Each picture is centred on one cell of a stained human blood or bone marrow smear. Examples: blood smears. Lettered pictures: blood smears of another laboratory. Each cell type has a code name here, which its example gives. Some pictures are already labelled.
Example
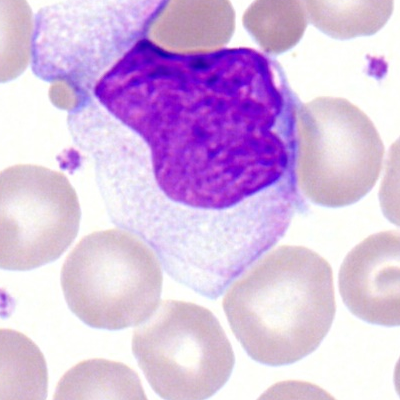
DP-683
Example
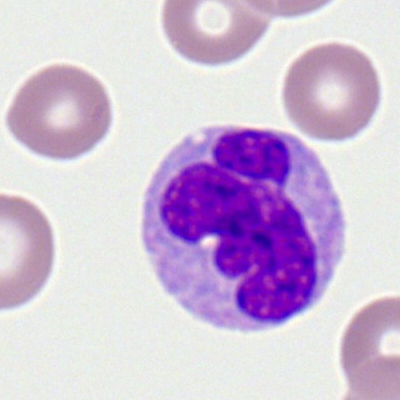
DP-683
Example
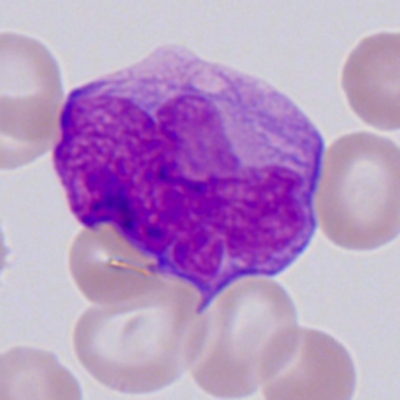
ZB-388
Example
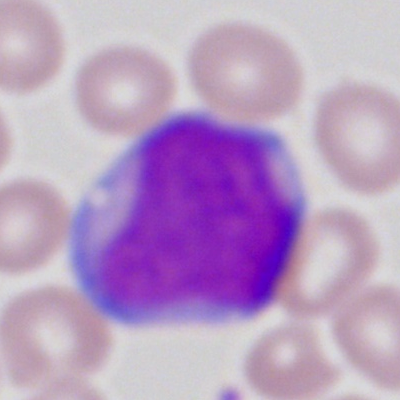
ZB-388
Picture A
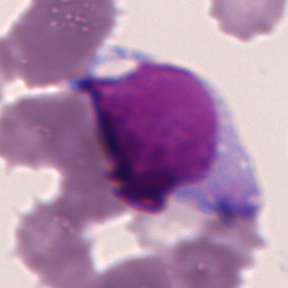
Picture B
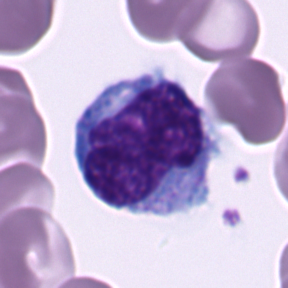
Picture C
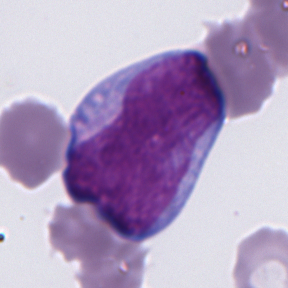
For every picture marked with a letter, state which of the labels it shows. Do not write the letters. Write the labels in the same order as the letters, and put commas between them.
ZB-388, DP-683, ZB-388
